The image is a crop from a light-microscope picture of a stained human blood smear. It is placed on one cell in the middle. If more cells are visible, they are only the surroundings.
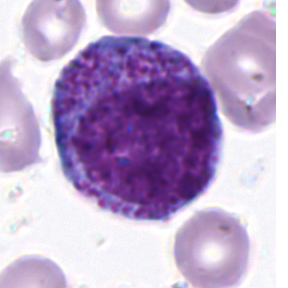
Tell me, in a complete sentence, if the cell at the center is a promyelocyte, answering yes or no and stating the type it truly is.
Yes, the cell occupying the middle of the crop is a promyelocyte.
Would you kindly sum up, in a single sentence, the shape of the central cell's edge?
You can see a smooth boundary, with no projections sticking out.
